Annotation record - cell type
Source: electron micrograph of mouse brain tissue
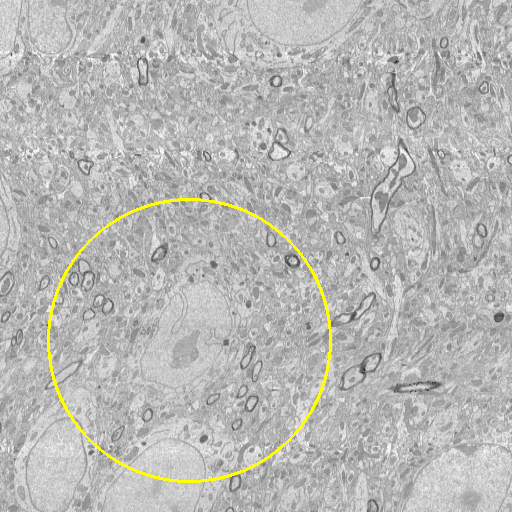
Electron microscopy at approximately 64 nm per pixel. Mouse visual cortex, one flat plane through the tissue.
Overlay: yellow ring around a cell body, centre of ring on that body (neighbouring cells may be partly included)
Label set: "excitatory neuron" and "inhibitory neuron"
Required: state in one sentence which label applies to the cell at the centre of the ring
This cell should be labelled as an inhibitory neuron.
